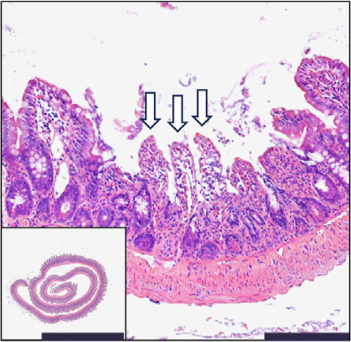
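This small intestinal mucosa is damaged: the villi are short and irregular, and at several tips the surface epithelium is gone, leaving denuded villi with their pale core tissue exposed. Loose cell debris floats in the lumen above, while the crypts and the pink muscular layer below remain intact.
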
